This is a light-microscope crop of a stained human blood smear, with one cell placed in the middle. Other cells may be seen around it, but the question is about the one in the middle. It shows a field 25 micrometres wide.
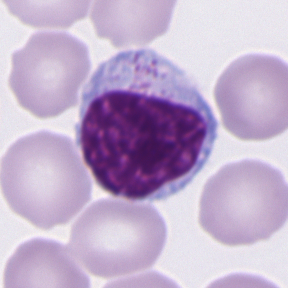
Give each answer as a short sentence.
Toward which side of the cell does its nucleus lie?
The nucleus is pushed toward the bottom of the cell.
